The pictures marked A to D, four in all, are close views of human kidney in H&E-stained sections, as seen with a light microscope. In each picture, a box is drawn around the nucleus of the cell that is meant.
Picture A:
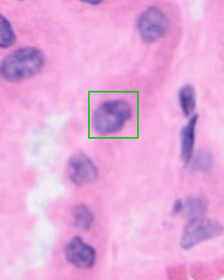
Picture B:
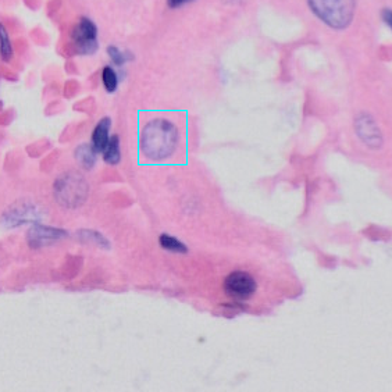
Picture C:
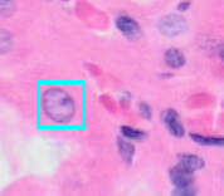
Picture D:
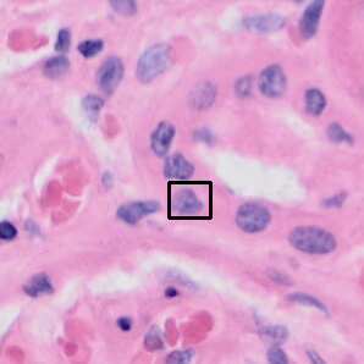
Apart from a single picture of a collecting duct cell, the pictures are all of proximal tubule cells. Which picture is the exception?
D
